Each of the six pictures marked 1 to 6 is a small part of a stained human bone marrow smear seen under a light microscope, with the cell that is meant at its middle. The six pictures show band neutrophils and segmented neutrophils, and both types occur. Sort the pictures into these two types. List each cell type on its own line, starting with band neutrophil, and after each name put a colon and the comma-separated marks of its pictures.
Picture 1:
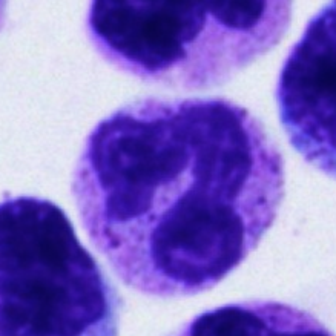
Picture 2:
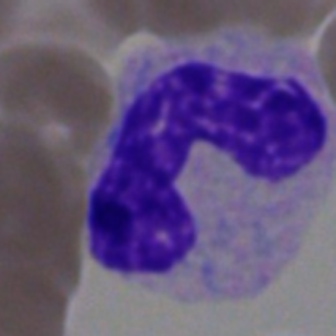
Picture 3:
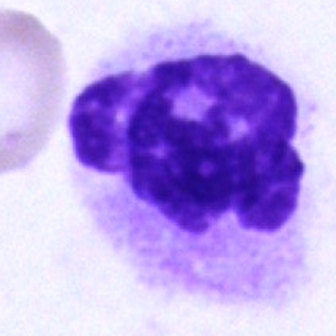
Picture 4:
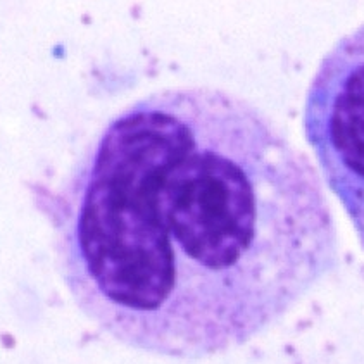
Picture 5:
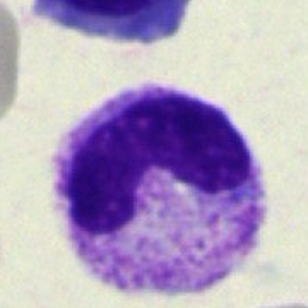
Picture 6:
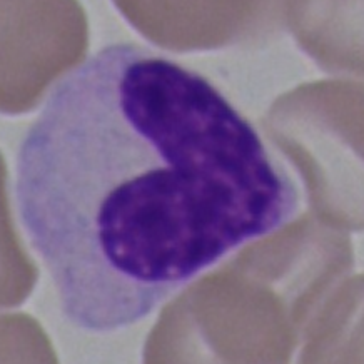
band neutrophil: 2, 5, 6
segmented neutrophil: 1, 3, 4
